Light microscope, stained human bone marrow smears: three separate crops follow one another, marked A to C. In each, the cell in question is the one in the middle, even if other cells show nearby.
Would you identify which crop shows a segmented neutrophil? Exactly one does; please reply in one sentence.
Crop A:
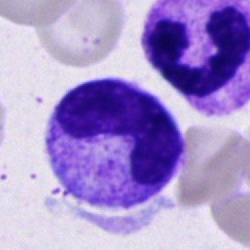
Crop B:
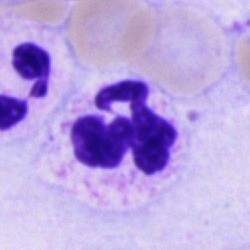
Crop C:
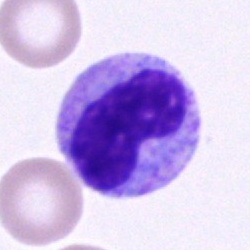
The cell identified as a segmented neutrophil is the one in crop B.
